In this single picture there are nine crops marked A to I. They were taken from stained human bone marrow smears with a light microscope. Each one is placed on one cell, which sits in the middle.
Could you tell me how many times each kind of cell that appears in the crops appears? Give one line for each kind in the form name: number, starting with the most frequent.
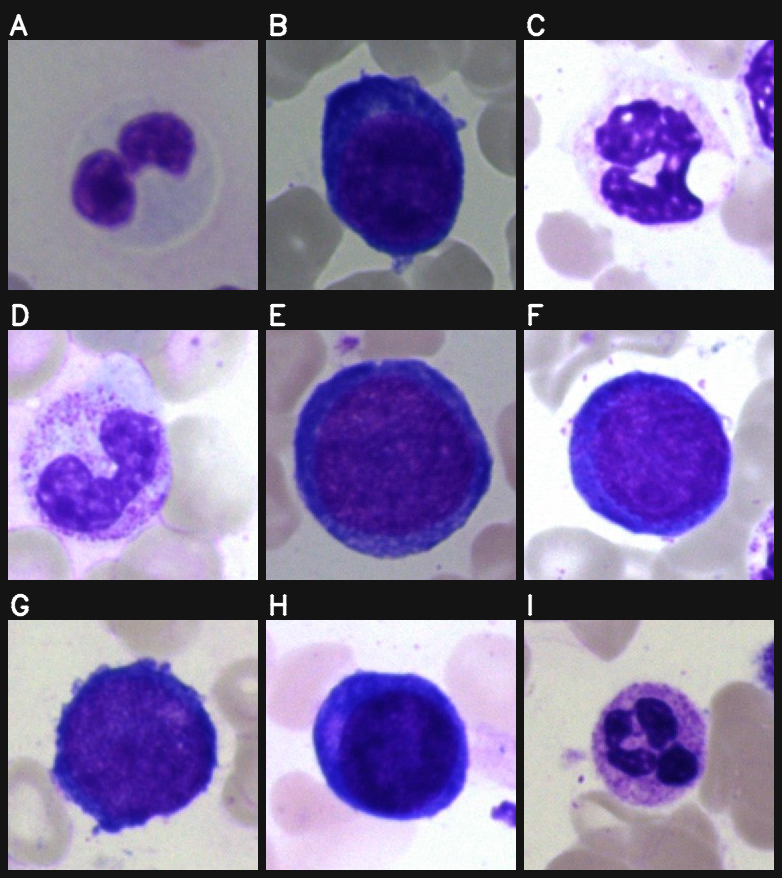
proerythroblast: 5
segmented neutrophil: 4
